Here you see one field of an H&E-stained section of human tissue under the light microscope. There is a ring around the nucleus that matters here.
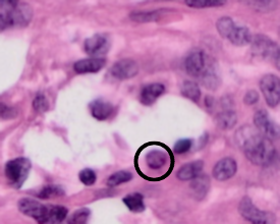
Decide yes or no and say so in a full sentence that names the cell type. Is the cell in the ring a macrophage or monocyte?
Yes, the cell type of the cell in the ring is that of a macrophage or monocyte.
